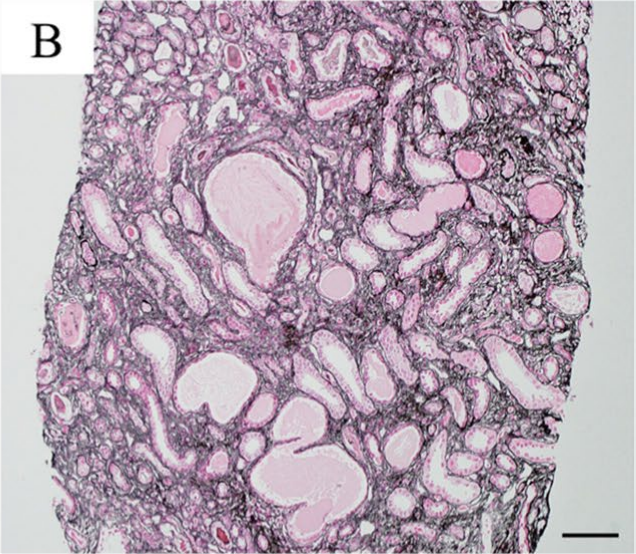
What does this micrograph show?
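This is kidney cortex at low power, made up mostly of tubules cut in various planes. Many tubules are markedly dilated into rounded or irregular cystic spaces, several filled with pale pink homogeneous material. The tubules are separated by widened interstitium traced by dark fibres, and smaller tubules of varying size lie between the large cystic ones.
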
